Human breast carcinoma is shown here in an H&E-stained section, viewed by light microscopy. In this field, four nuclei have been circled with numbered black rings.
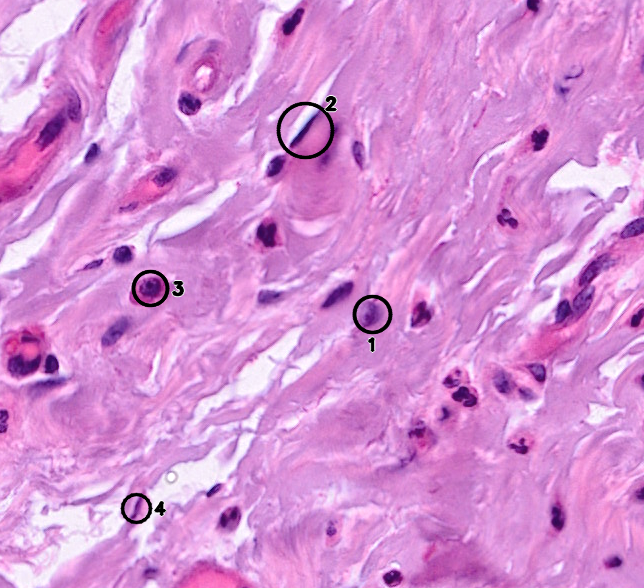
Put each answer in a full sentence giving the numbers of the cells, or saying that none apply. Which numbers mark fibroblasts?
Classified as fibroblasts are the cells numbered 1, 2 and 4.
